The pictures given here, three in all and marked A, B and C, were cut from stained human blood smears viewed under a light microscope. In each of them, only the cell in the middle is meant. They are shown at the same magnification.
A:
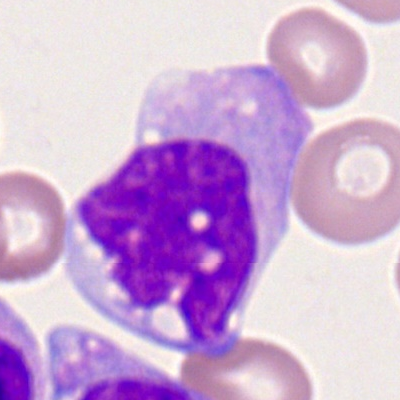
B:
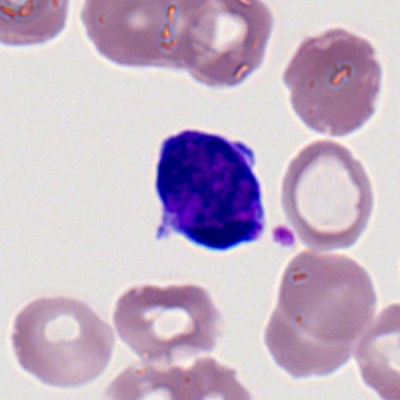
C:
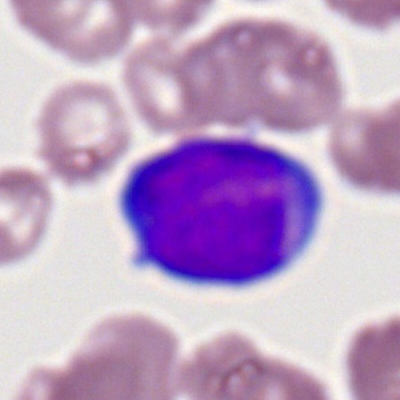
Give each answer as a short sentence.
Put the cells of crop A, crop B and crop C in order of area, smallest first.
From the smallest up, the order is B, C, A.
